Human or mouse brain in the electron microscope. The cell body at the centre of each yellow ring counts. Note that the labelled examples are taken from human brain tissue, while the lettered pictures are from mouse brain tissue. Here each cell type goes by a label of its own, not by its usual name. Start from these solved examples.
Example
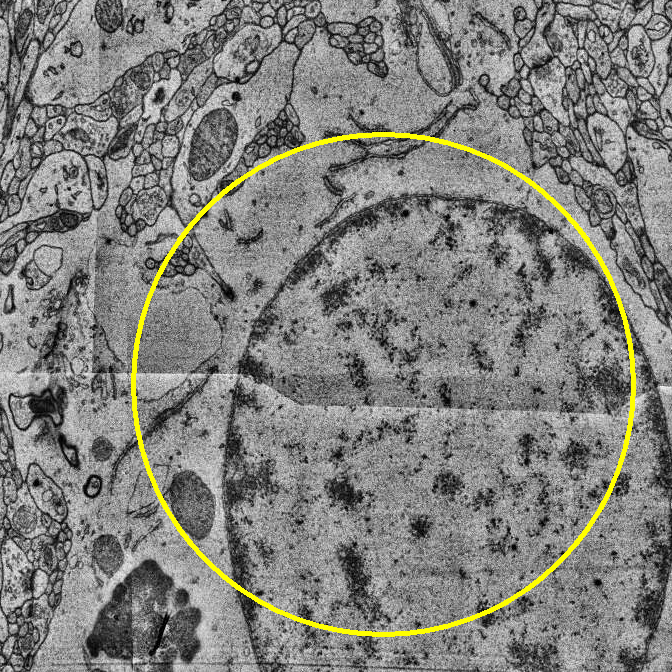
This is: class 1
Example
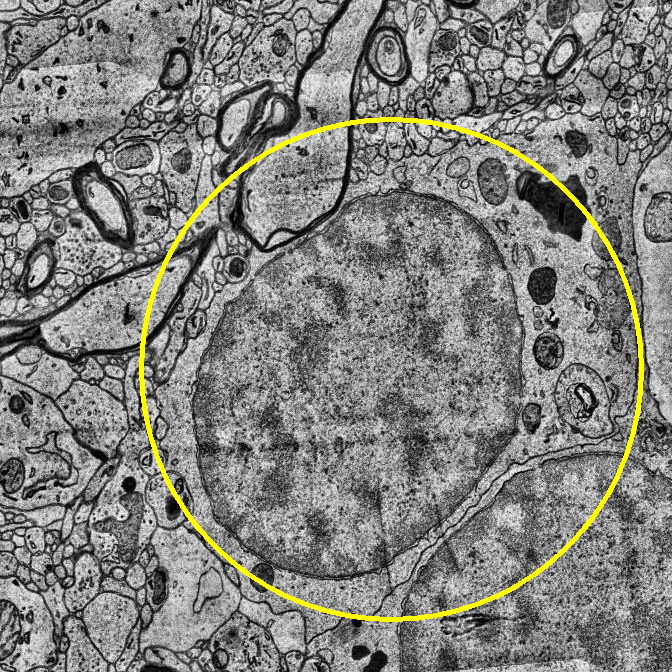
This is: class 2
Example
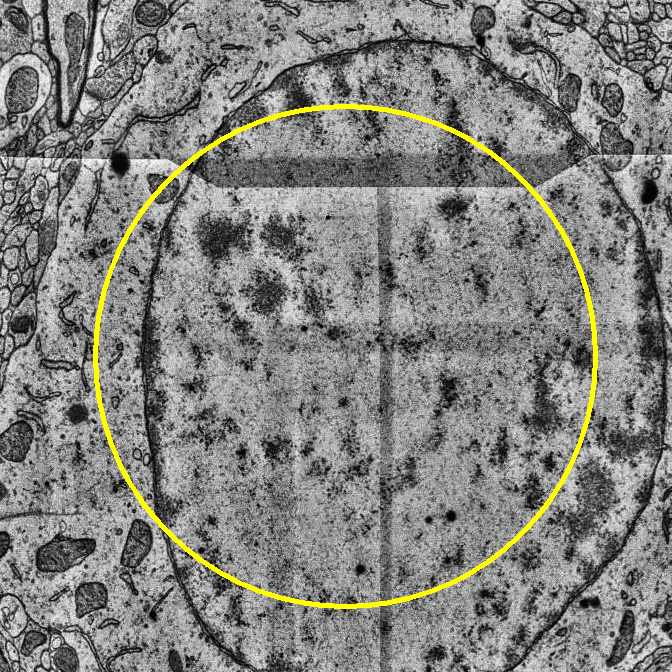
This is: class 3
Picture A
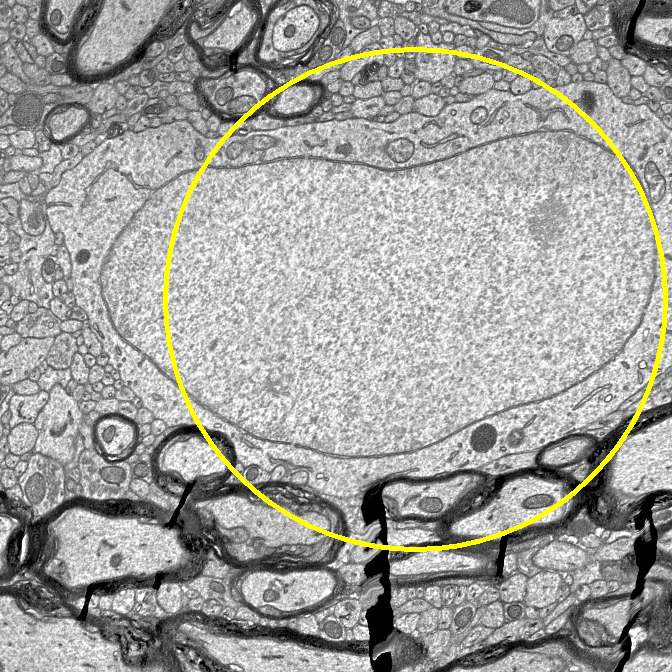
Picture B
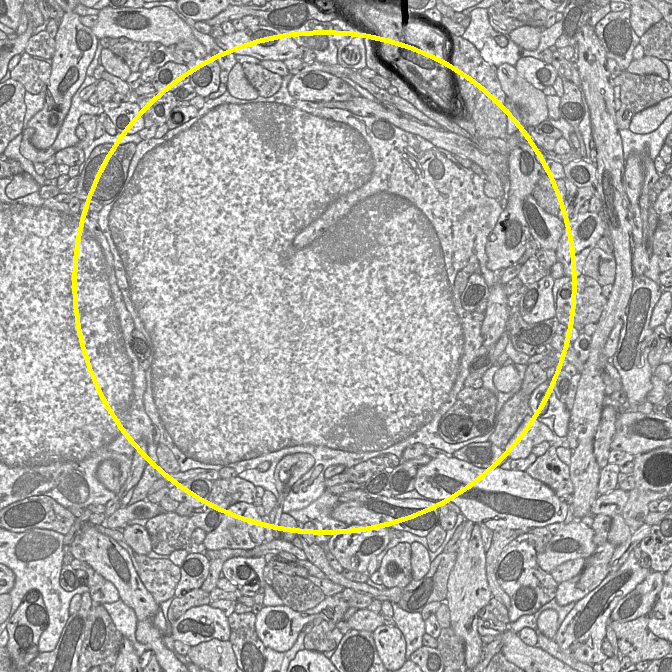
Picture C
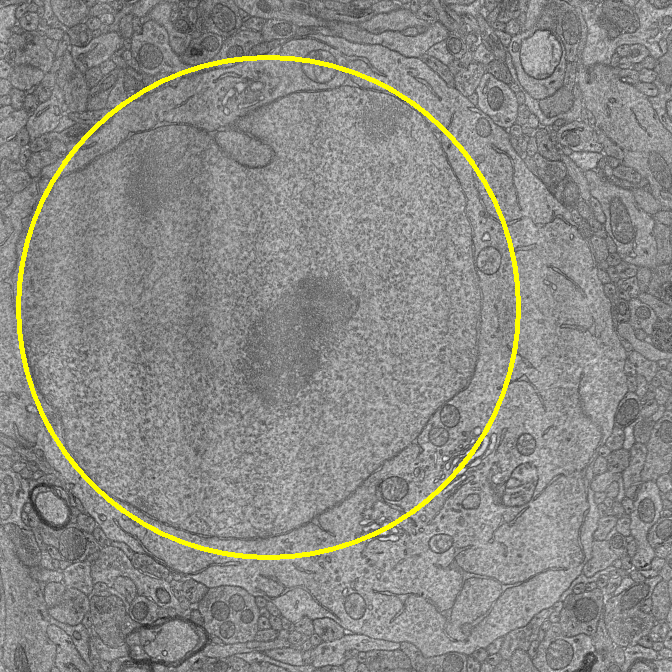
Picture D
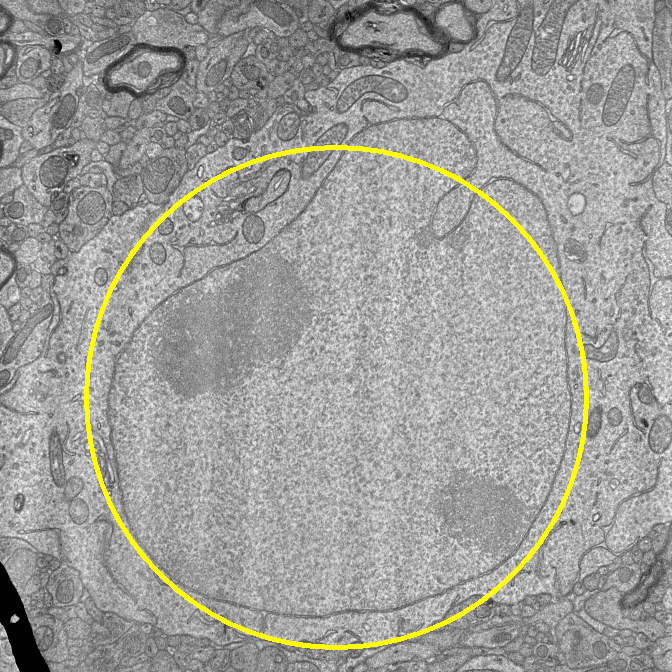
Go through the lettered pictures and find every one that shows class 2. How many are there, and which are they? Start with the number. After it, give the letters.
0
